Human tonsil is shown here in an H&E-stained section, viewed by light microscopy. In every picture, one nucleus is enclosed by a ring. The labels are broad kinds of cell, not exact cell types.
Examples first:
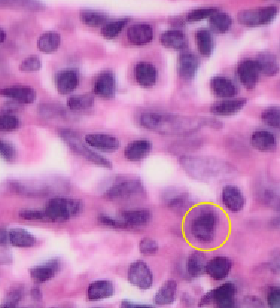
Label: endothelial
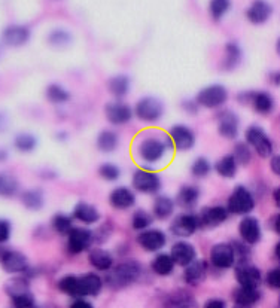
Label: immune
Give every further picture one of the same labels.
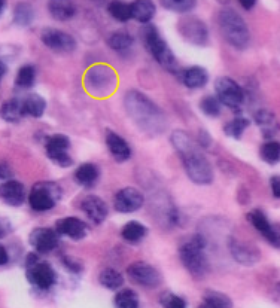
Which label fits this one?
endothelial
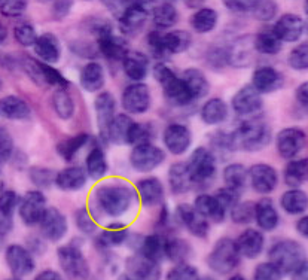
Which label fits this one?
immune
